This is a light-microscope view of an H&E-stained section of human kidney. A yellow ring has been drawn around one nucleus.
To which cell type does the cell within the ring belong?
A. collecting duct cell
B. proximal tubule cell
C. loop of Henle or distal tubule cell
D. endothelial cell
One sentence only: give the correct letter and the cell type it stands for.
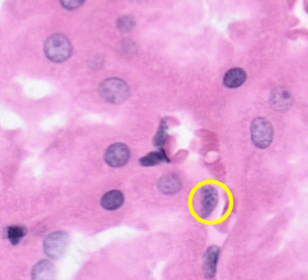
Here the cell within the ring is an endothelial cell; pick option D.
